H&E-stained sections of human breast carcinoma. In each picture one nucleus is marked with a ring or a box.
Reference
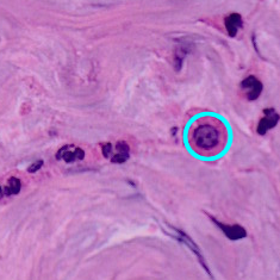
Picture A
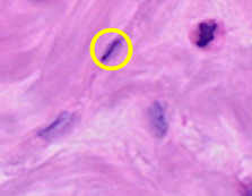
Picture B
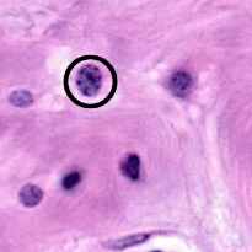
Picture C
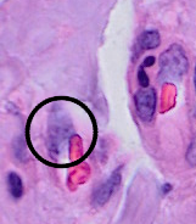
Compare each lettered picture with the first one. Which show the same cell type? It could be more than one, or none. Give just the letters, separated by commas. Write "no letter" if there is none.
B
